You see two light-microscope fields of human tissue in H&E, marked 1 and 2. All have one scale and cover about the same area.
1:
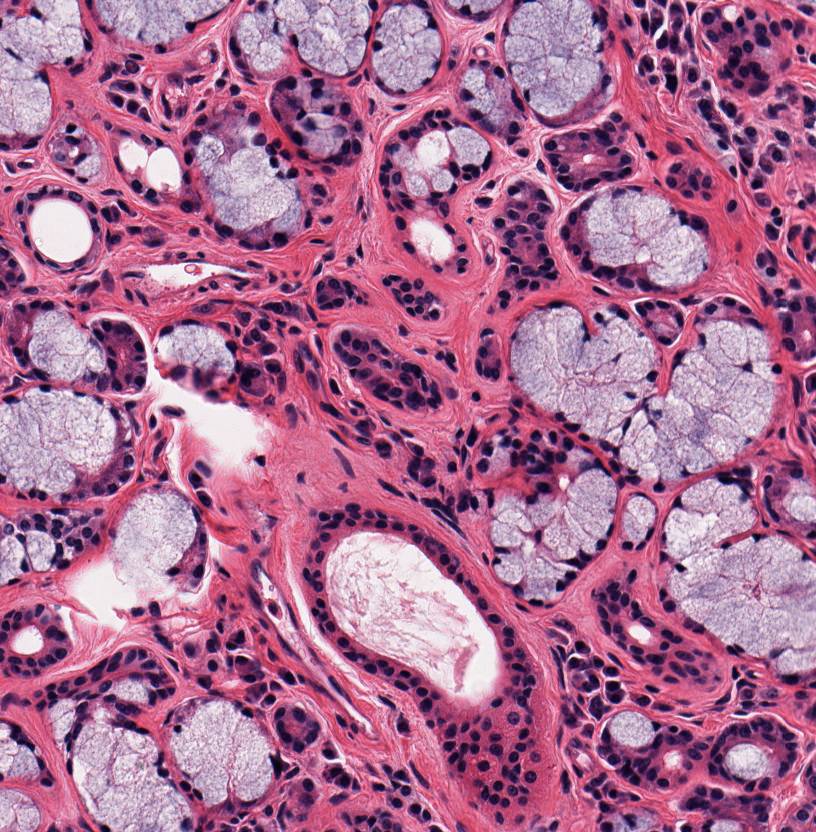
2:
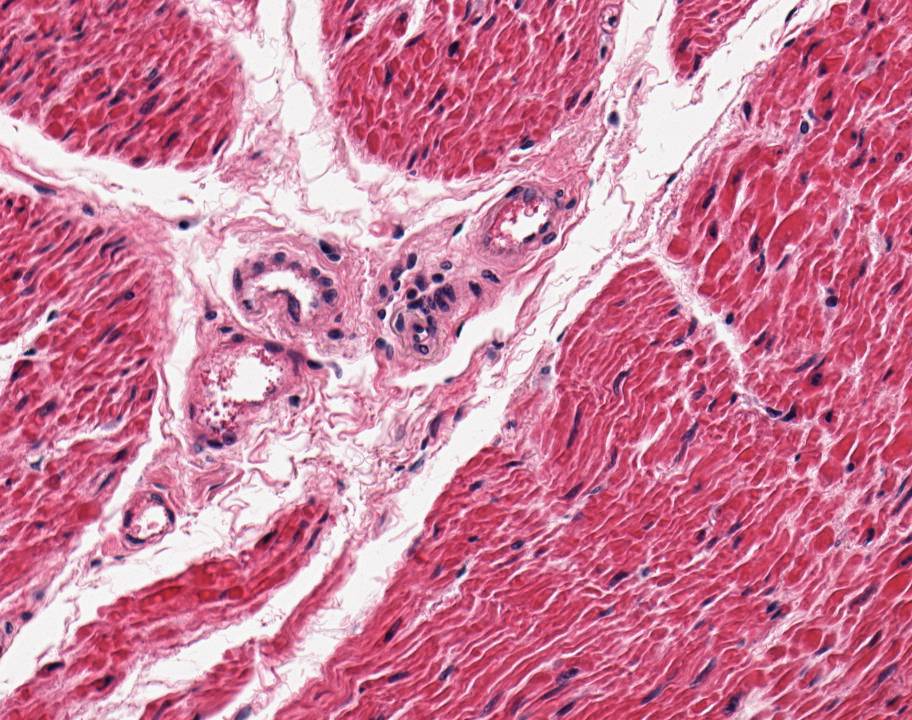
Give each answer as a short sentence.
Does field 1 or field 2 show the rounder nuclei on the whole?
On the whole the nuclei of field 1 are rounder than those of field 2.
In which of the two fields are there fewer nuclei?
Fewer nuclei lie in field 2 than in field 1.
